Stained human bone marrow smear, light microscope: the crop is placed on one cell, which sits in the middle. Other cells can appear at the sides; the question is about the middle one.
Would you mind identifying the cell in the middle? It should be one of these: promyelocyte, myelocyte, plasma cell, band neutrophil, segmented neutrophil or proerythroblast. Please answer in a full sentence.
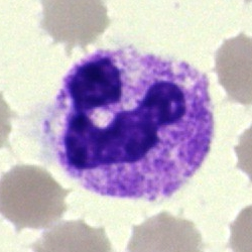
The cell featured at the centre of this crop is a segmented neutrophil.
